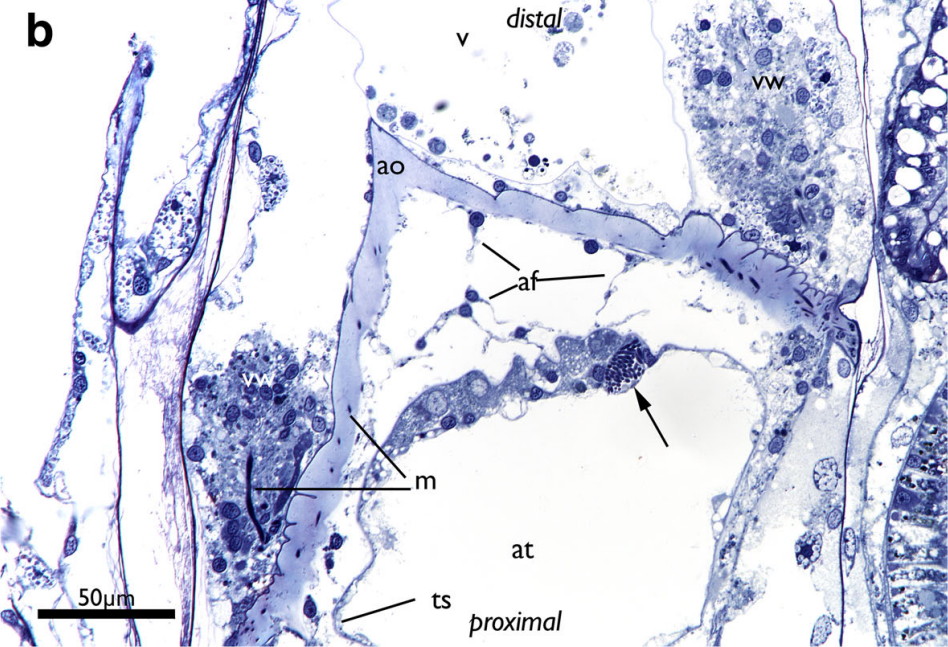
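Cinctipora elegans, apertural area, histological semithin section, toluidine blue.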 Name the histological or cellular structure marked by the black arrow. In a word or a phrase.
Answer: distinct inclusions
